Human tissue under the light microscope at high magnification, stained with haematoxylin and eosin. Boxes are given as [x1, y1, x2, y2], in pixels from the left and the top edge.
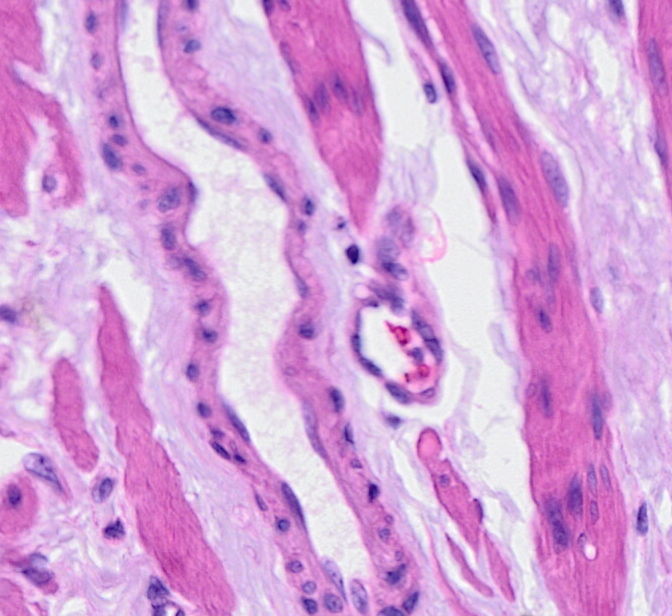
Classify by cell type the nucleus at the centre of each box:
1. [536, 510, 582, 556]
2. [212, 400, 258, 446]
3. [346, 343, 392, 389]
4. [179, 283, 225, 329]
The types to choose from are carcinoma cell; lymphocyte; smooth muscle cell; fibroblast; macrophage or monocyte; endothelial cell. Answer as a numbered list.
1. smooth muscle cell
2. endothelial cell
3. endothelial cell
4. smooth muscle cell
